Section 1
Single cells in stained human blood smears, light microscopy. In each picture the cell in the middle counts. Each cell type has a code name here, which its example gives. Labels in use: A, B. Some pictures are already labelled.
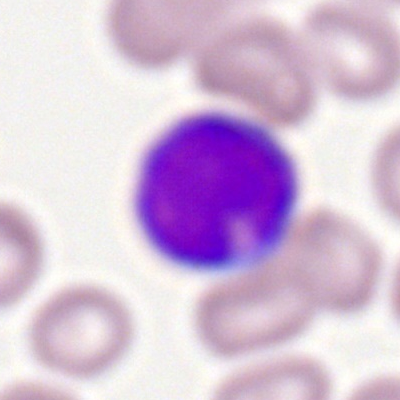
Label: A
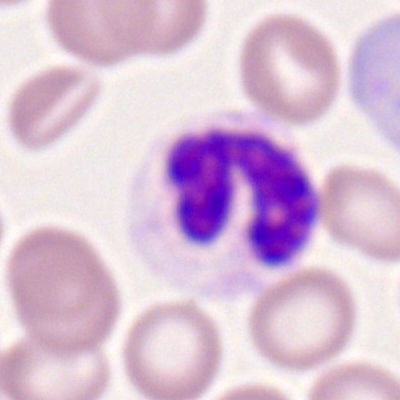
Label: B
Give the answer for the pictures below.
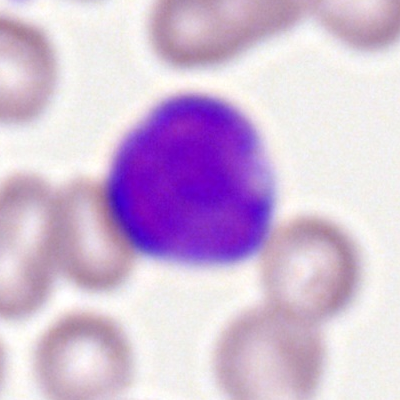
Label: A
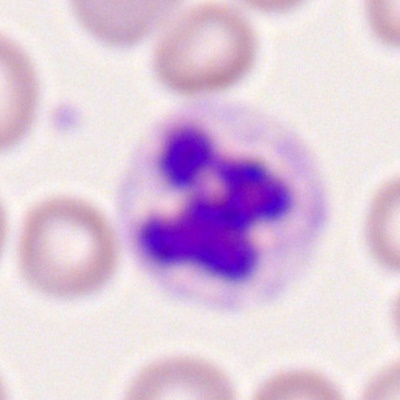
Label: B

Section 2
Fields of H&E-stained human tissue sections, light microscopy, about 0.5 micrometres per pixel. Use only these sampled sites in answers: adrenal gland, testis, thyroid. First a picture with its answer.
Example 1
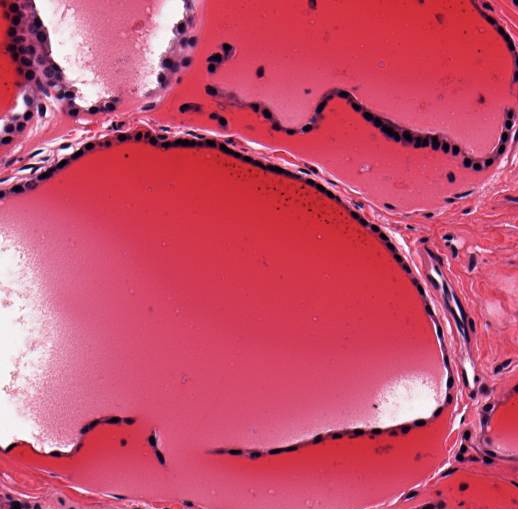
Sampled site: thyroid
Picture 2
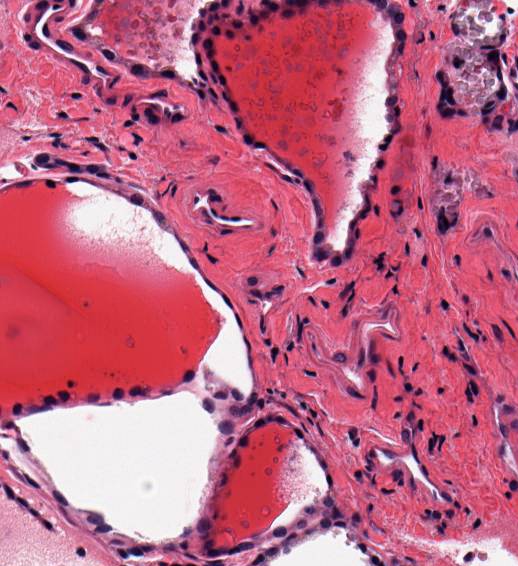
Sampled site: thyroid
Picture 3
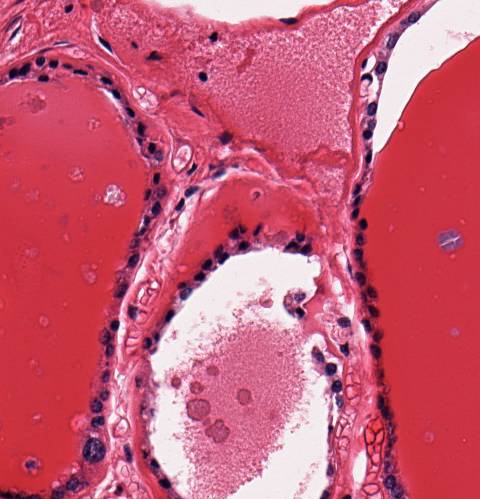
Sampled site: thyroid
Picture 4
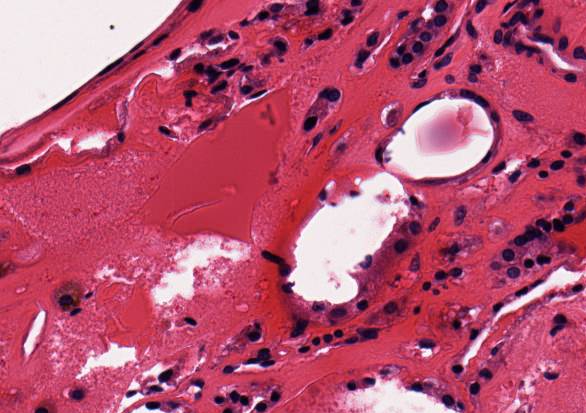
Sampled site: thyroid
